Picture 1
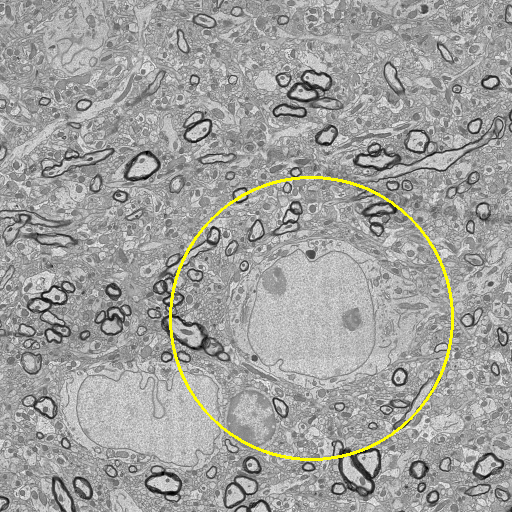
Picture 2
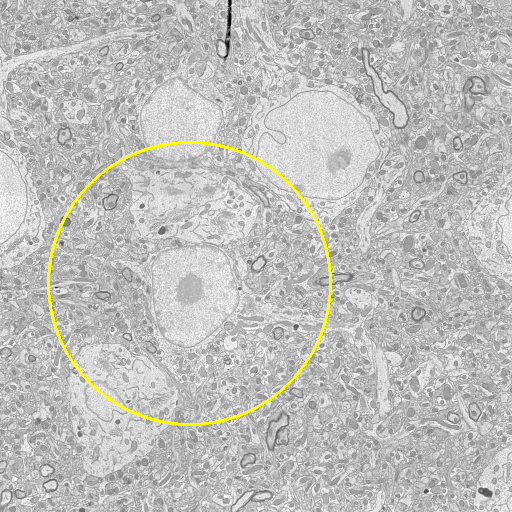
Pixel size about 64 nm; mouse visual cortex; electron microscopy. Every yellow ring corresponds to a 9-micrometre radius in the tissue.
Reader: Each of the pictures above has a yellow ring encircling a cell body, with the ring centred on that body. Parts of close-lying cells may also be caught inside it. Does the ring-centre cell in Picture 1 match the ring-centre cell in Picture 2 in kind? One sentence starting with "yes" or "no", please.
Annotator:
No, Picture 1 and Picture 2 show ring-centre cells of two kinds.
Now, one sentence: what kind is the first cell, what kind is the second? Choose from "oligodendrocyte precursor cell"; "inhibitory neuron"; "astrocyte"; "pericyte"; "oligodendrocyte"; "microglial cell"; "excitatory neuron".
The first picture has an excitatory neuron at its ring centre, and the second has an astrocyte.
